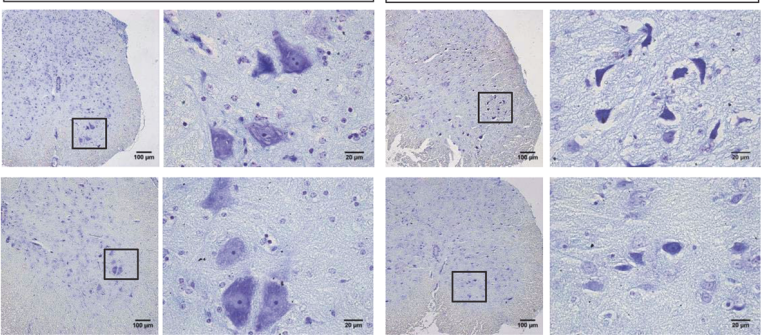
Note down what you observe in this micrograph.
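These are sections of spinal cord grey matter stained with a violet-blue Nissl stain. Each low-magnification view, with a boxed area, is paired with an enlargement of that box. The enlargements show large, multipolar motor neurons with angular cell bodies, dense purple cytoplasm and short stout processes. Some of them show a pale nucleus. Around them are many small, dark, round nuclei of glial cells, set in a pale, finely textured neuropil. In some enlargements the large neurons appear shrunken and darkly, evenly stained, or palely stained with little cytoplasmic granularity. In others they are fewer in number.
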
